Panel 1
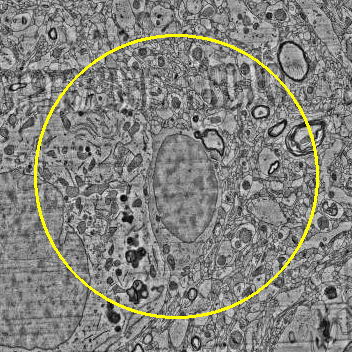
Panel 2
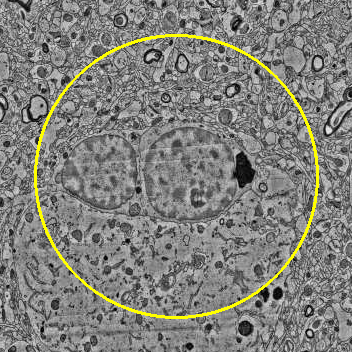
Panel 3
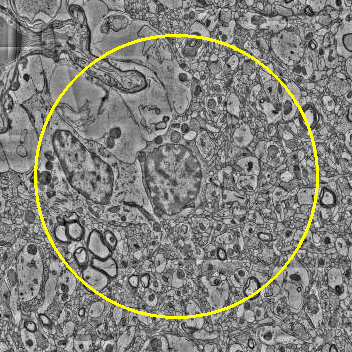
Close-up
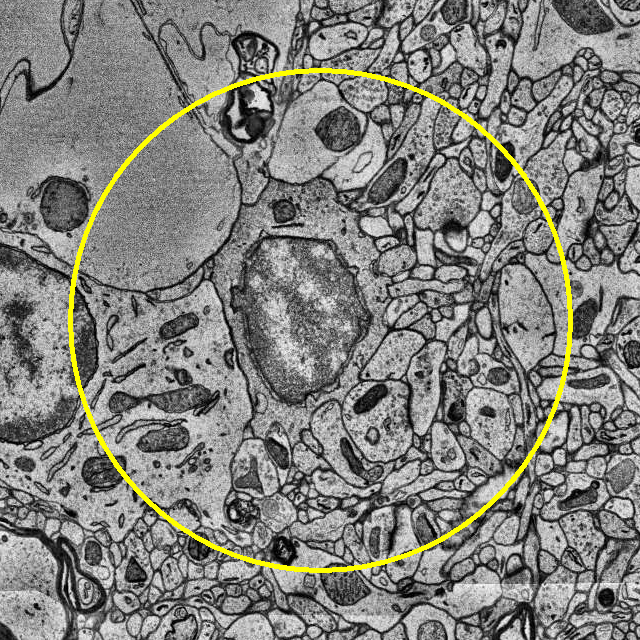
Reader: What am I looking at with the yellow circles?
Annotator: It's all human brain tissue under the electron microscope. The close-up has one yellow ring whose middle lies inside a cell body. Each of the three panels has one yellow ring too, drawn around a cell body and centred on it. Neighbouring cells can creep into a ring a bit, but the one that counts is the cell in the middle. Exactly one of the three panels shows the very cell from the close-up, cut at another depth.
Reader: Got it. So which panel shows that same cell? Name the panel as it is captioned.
Panel 3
